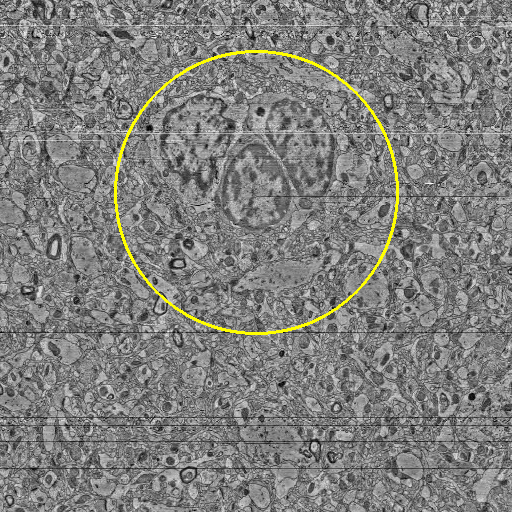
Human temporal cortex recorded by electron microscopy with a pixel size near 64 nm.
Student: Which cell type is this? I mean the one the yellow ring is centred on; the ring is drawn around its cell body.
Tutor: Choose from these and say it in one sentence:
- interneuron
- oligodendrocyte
The cell the ring is centred on is an oligodendrocyte.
